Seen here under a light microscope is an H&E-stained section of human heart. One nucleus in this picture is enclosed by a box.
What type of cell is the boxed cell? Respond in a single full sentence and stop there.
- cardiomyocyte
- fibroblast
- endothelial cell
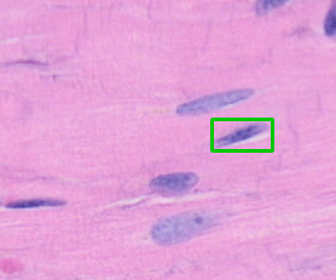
The identity of the boxed cell is that of an endothelial cell.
